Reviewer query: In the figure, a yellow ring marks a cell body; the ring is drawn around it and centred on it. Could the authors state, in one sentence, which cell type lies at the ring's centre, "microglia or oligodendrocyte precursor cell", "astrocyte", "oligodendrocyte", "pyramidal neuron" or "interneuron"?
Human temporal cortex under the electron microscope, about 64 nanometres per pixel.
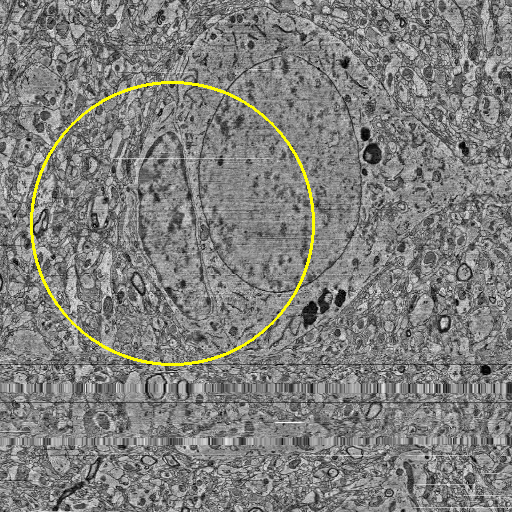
The ring is centred on a microglial cell or oligodendrocyte precursor cell.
